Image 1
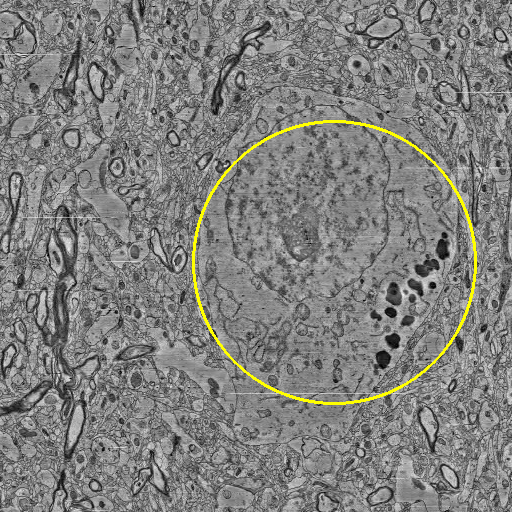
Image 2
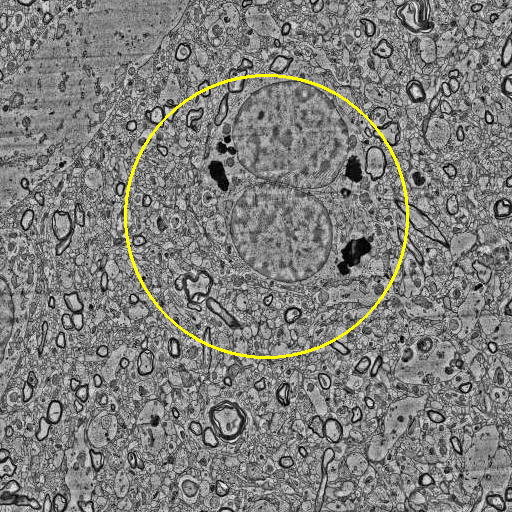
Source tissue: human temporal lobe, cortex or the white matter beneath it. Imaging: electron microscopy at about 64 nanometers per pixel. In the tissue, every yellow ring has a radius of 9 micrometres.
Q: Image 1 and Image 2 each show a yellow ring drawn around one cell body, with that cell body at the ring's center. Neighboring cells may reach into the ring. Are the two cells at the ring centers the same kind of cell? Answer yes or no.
no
